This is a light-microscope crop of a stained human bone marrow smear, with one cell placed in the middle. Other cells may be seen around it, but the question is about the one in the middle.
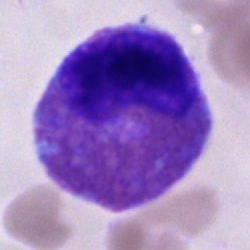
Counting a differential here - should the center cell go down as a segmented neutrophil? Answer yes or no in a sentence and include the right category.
No, the cell in the middle is not a segmented neutrophil but an eosinophil.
